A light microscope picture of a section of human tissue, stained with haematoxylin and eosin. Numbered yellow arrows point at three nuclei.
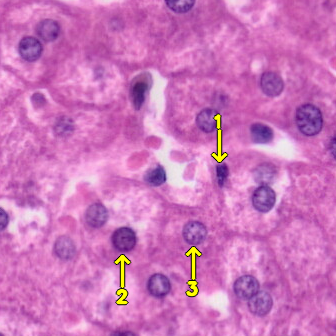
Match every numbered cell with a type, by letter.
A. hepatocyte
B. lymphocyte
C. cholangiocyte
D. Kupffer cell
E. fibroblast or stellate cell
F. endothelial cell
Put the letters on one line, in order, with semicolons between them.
E; A; A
